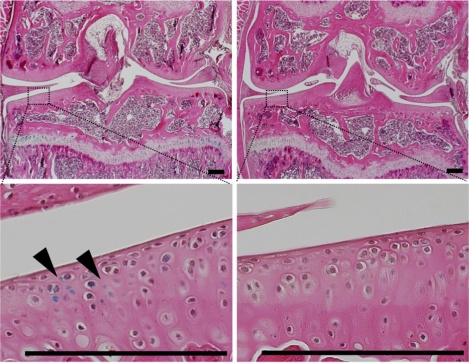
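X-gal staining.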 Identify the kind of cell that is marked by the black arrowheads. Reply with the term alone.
Articular chondrocytes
